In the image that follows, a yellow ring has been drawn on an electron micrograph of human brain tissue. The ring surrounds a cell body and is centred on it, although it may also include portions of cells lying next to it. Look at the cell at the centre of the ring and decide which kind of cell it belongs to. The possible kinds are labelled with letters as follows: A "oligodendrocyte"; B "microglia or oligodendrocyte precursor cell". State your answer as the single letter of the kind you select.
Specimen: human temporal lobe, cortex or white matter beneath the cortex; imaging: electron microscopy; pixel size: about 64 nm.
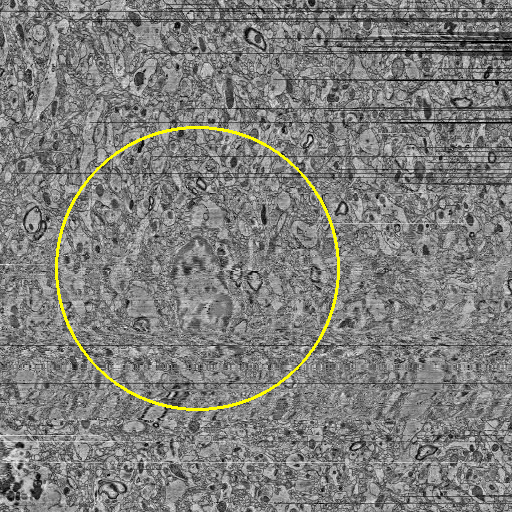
B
